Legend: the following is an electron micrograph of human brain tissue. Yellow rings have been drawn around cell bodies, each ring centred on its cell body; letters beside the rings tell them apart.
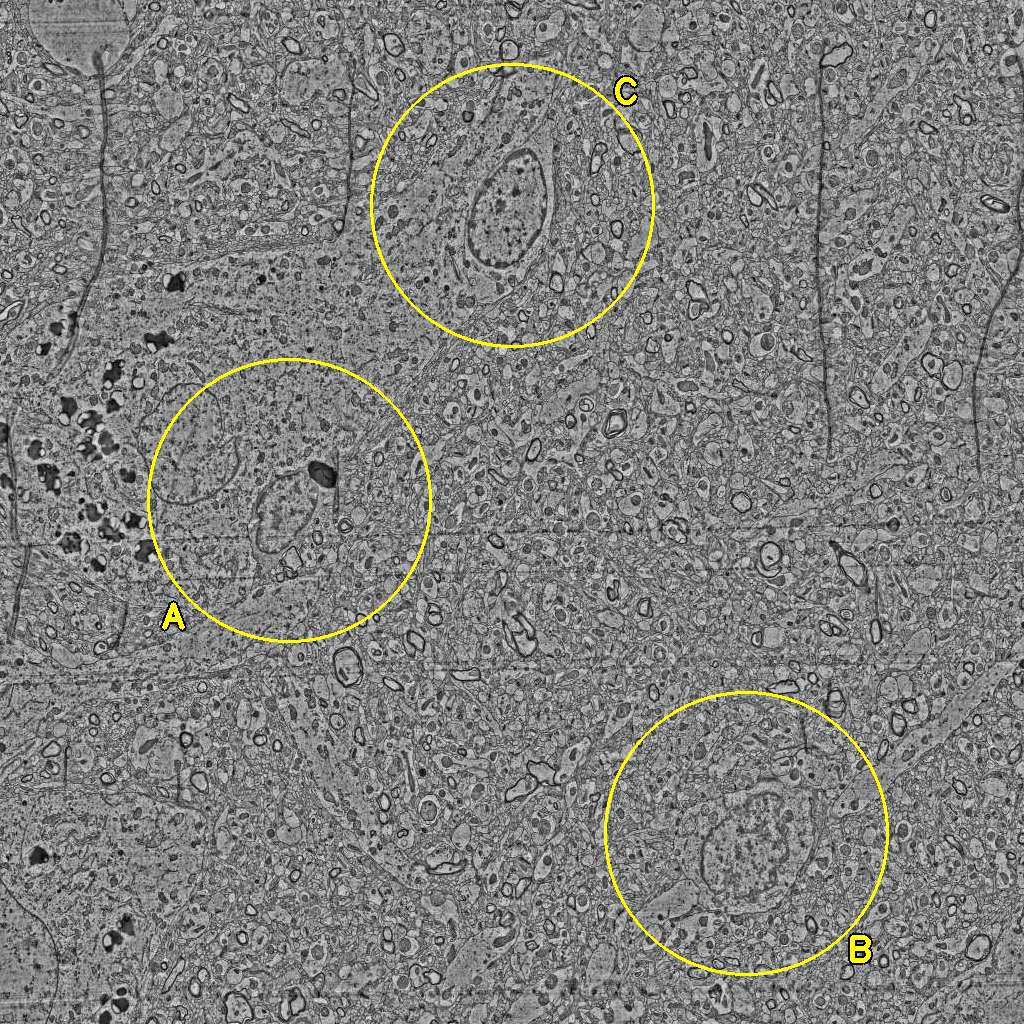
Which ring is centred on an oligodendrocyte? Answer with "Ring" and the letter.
Ring A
